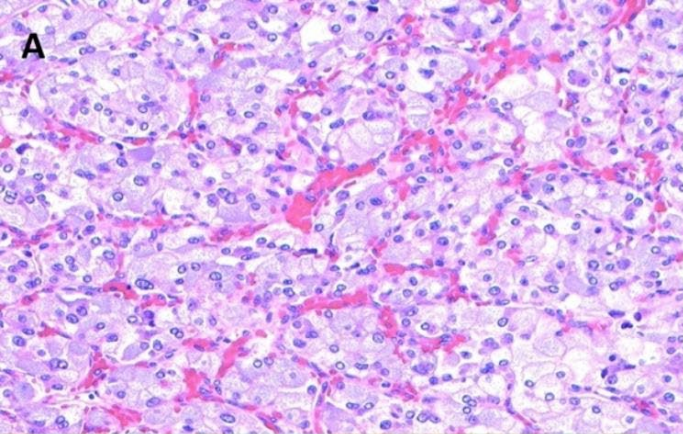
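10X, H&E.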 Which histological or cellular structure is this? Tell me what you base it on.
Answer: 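Polygonal cells with pale, finely granular cytoplasm form rounded clusters. The clusters are separated by thin septa containing red blood cells. The nuclei are round and fairly uniform. So: zell-ballen nests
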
